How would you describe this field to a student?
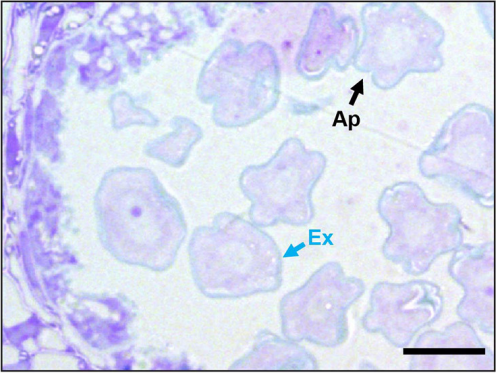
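Microspores lie free in the anther locule, irregular and lobed in outline, each bounded by a thin pale blue outer wall, the exine. The layered locule wall runs along the left edge.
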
